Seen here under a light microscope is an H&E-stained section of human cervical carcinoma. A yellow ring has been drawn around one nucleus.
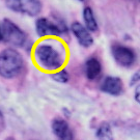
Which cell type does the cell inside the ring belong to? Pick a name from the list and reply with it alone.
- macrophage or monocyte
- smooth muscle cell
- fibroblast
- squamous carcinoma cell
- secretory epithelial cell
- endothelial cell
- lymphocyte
lymphocyte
